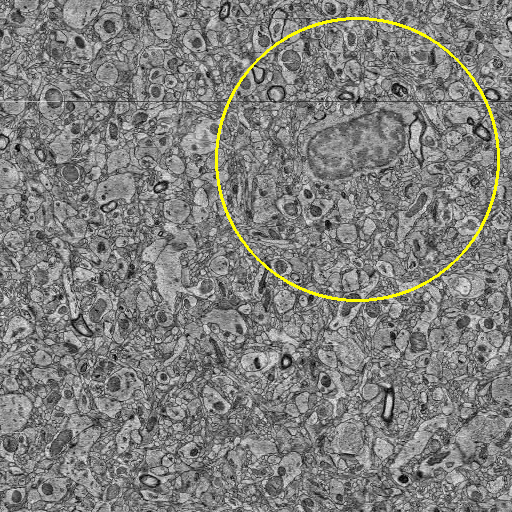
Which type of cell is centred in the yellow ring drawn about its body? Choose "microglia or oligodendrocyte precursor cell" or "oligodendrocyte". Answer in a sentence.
The yellow ring surrounds the cell body of an oligodendrocyte.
